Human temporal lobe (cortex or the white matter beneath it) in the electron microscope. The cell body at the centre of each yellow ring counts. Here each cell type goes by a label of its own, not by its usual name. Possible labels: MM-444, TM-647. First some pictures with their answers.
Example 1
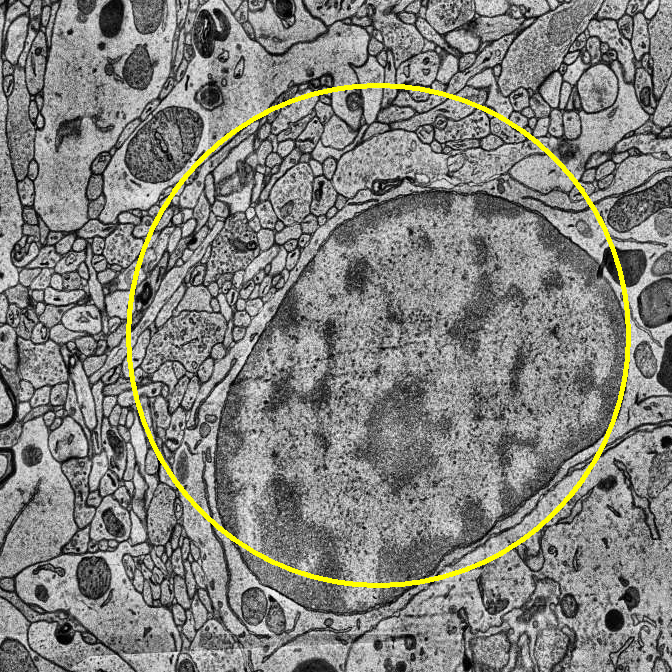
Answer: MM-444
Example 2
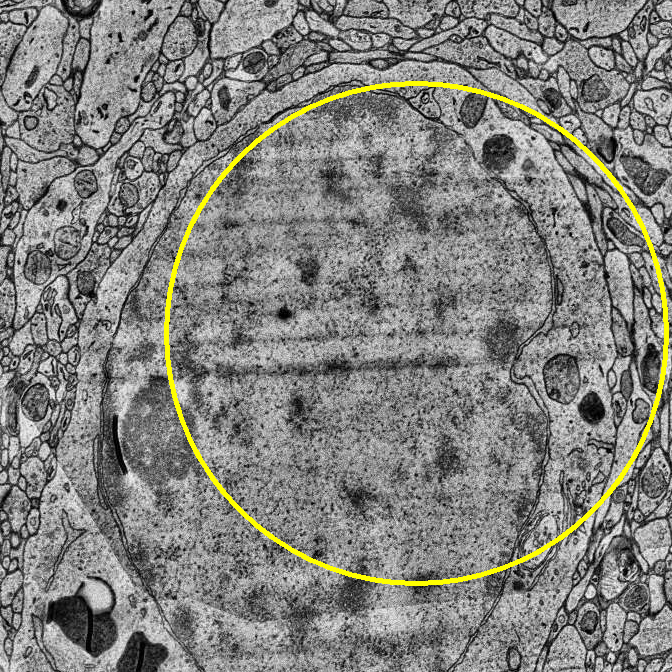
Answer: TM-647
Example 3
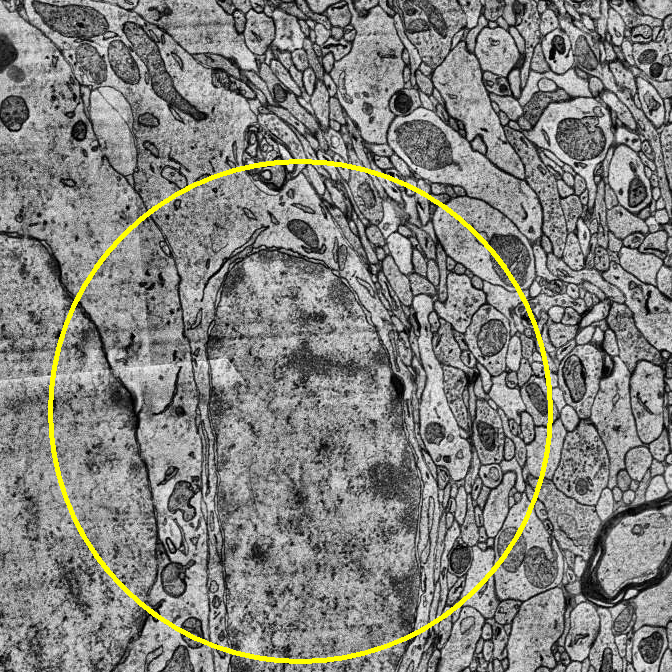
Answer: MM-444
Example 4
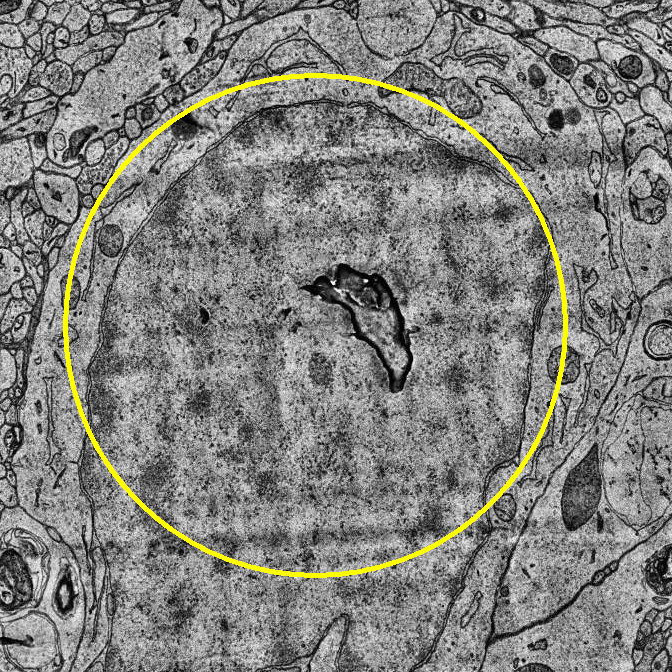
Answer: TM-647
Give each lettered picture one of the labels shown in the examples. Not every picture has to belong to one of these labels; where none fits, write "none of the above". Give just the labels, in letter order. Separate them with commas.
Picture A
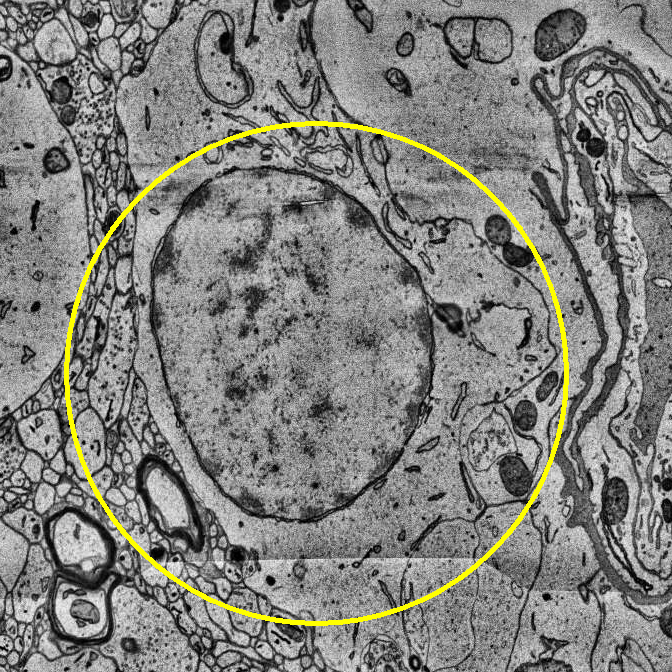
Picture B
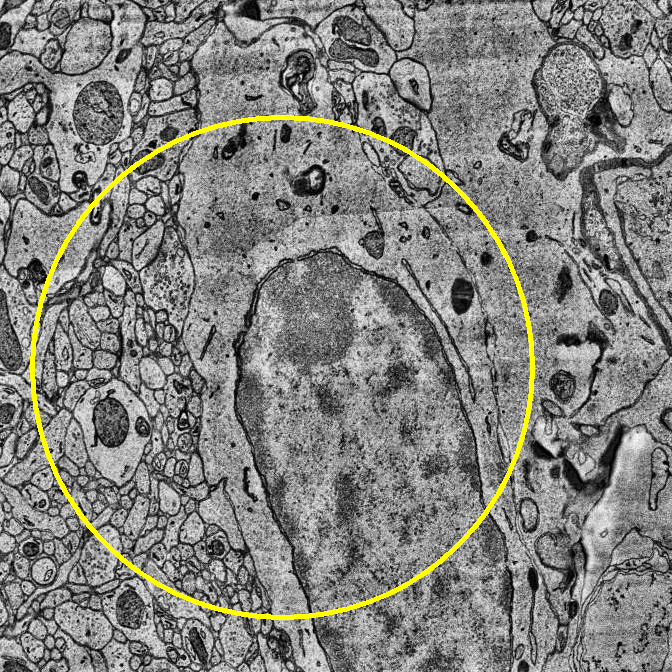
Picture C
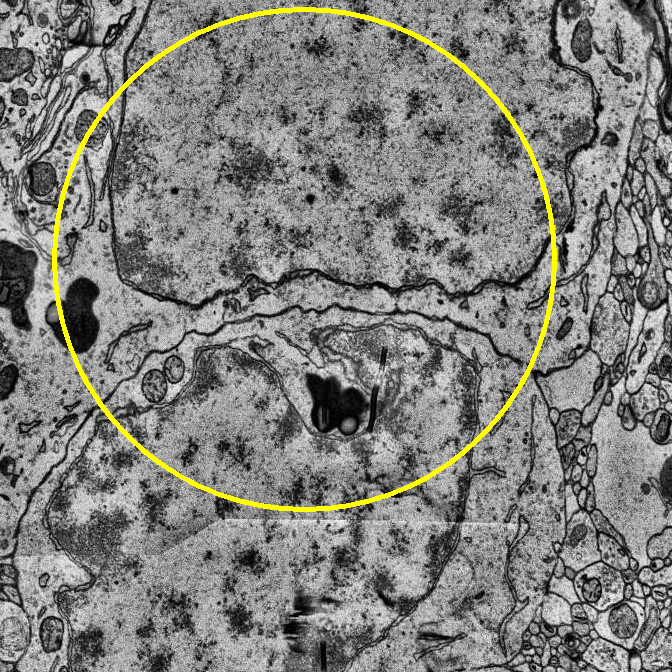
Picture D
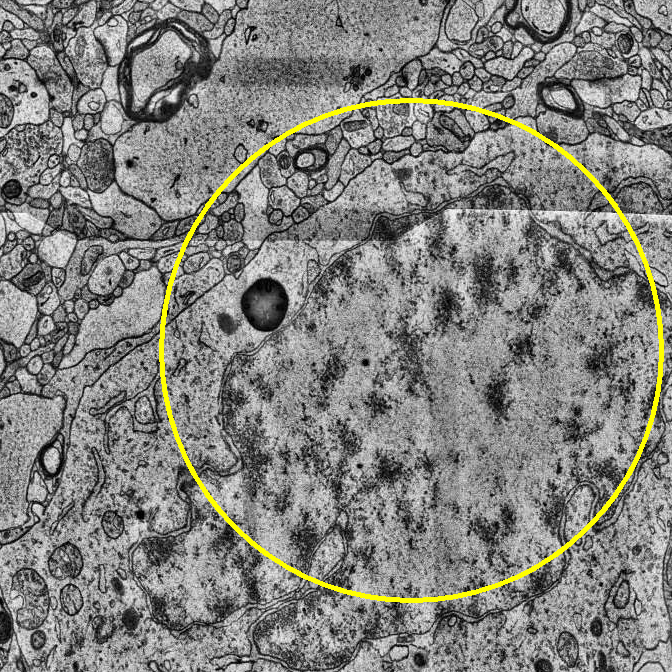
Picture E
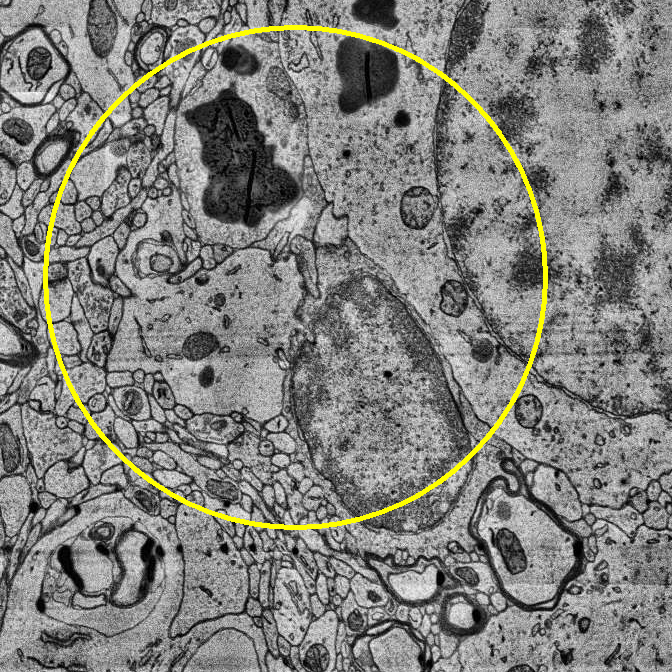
MM-444, MM-444, TM-647, TM-647, MM-444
